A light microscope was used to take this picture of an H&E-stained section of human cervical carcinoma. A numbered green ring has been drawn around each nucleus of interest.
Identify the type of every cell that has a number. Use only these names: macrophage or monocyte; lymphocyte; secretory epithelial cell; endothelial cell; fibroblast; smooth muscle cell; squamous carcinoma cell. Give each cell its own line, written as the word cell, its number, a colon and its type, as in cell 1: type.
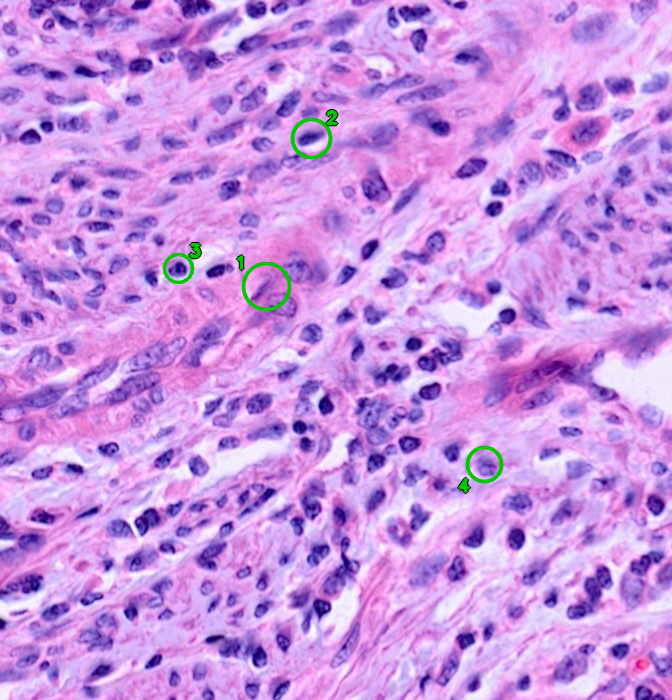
cell 1: endothelial cell
cell 2: lymphocyte
cell 3: lymphocyte
cell 4: macrophage or monocyte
